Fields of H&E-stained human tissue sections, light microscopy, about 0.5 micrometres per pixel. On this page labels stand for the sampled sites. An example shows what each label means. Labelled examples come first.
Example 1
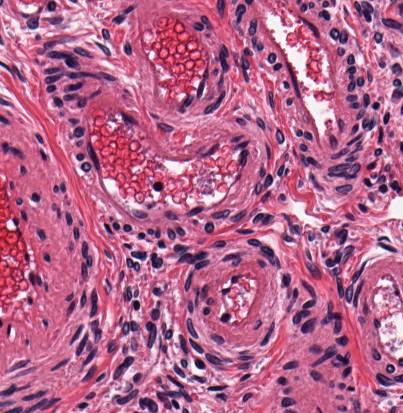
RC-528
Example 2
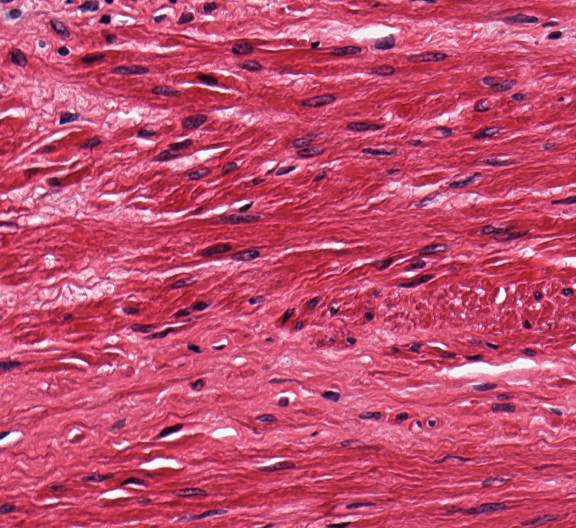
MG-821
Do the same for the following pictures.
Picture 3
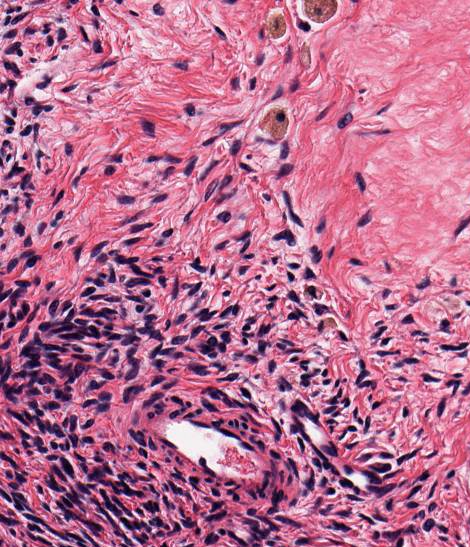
RC-528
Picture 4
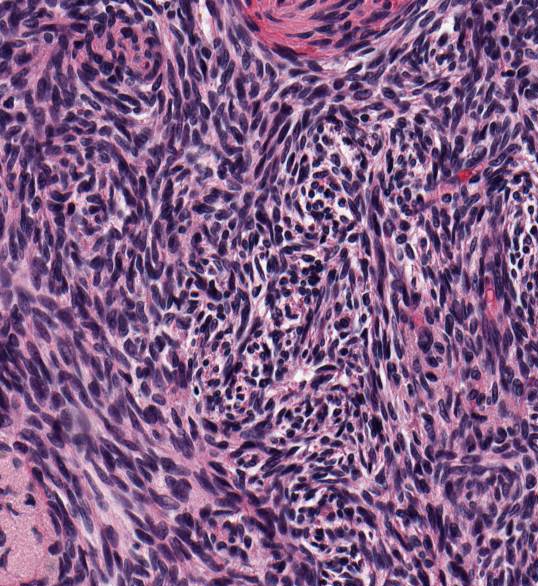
RC-528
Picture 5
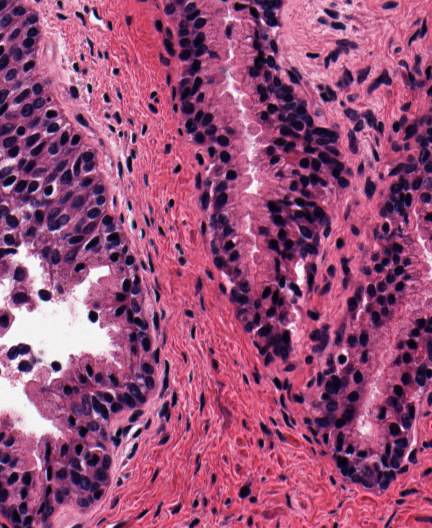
MG-821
